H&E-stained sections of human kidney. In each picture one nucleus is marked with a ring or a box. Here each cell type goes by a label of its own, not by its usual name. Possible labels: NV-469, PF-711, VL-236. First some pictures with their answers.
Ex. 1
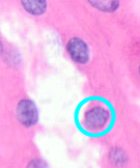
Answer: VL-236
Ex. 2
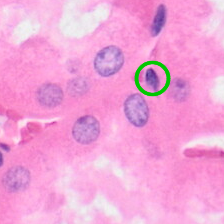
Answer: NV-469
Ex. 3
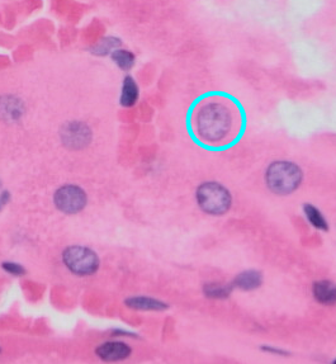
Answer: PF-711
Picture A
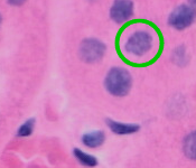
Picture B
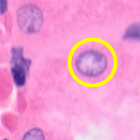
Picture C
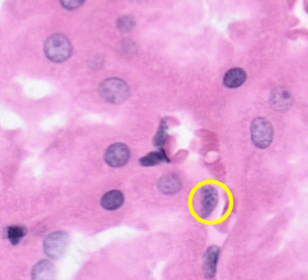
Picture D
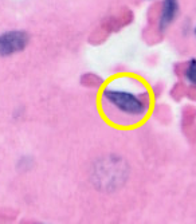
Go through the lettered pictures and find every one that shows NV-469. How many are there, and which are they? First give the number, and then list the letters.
2: C, D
